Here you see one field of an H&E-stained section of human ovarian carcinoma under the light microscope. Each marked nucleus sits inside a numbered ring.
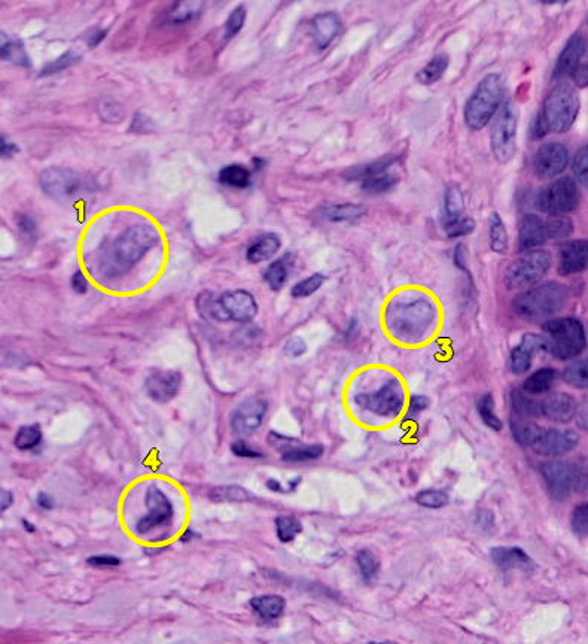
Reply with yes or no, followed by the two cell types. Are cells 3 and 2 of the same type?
No, that's off: cell 3 is a fibroblast and cell 2 is a macrophage or monocyte.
